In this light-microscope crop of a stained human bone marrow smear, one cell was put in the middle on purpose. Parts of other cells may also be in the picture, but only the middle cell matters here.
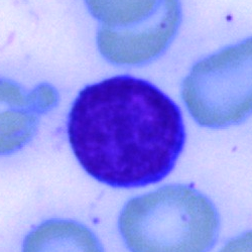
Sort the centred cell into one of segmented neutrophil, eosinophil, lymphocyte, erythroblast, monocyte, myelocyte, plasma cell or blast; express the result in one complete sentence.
In the middle of this smear crop, the cell is a lymphocyte.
